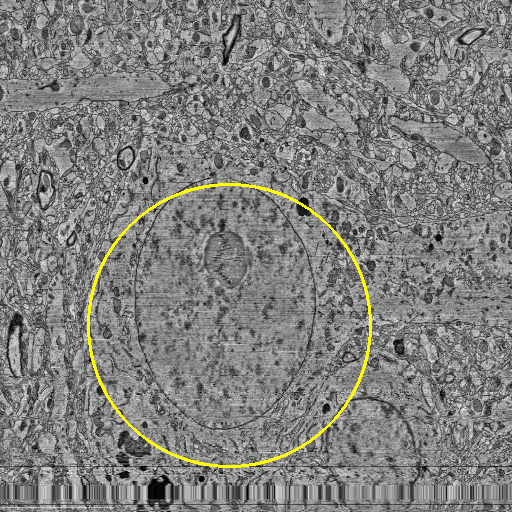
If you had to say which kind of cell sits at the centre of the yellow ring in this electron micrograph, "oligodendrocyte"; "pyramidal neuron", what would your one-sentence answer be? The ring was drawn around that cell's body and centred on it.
The cell sitting at the centre of the ring is a pyramidal neuron.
